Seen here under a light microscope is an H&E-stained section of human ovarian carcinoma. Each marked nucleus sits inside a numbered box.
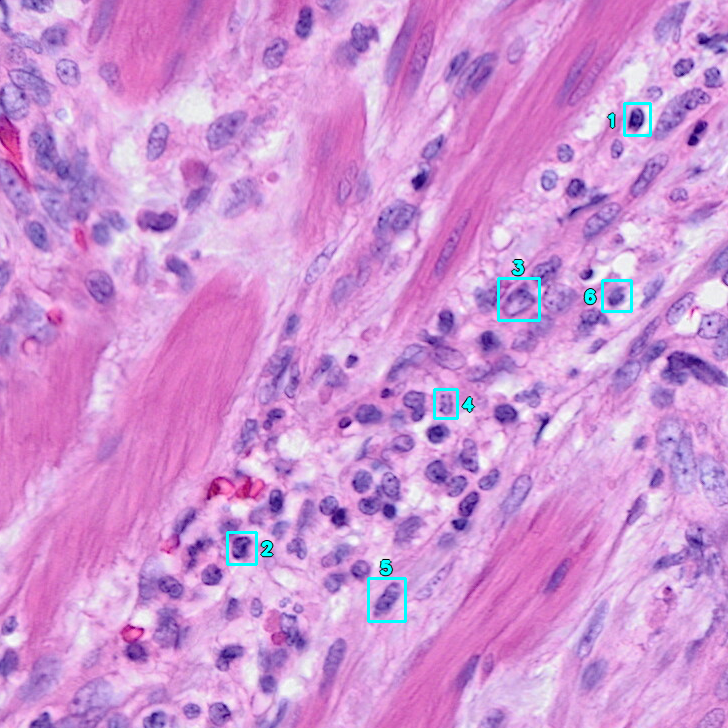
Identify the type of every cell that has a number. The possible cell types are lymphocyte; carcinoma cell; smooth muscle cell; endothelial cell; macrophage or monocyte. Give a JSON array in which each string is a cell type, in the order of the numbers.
["lymphocyte", "lymphocyte", "endothelial cell", "macrophage or monocyte", "macrophage or monocyte", "lymphocyte"]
